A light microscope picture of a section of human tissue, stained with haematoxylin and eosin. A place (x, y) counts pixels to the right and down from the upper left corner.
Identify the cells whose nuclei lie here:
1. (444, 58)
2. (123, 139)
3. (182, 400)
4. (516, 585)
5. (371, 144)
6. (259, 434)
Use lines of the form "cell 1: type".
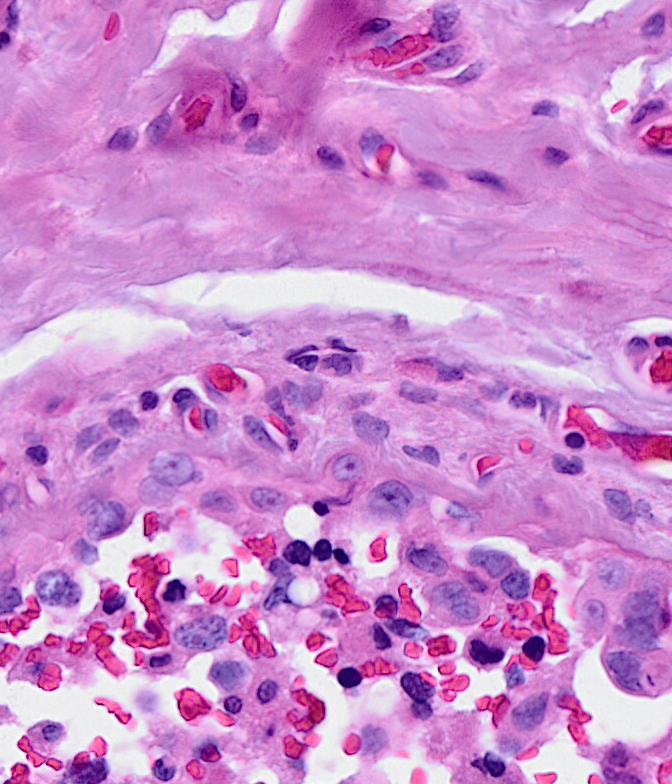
cell 1: endothelial cell
cell 2: fibroblast
cell 3: endothelial cell
cell 4: carcinoma cell
cell 5: endothelial cell
cell 6: endothelial cell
